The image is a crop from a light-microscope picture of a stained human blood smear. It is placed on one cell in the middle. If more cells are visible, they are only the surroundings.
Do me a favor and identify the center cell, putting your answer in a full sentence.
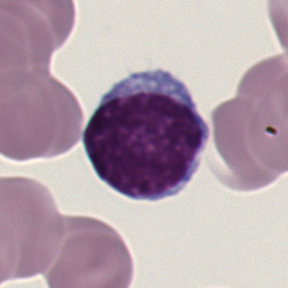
The centered cell in this crop is a typical lymphocyte.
